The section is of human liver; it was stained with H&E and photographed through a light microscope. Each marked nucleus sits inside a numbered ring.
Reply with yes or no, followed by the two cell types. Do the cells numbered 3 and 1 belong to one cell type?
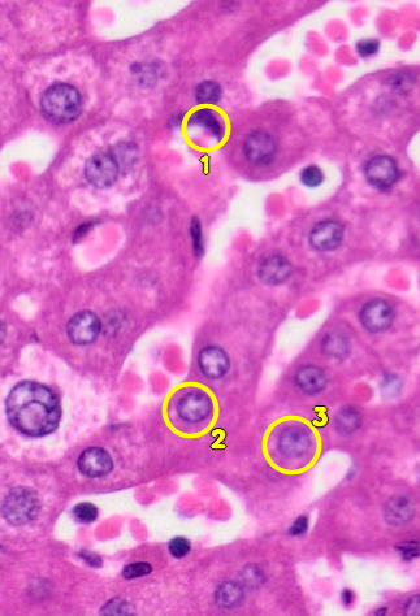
No, a fibroblast or stellate cell is what cell 1 is, while cell 3 is a hepatocyte.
